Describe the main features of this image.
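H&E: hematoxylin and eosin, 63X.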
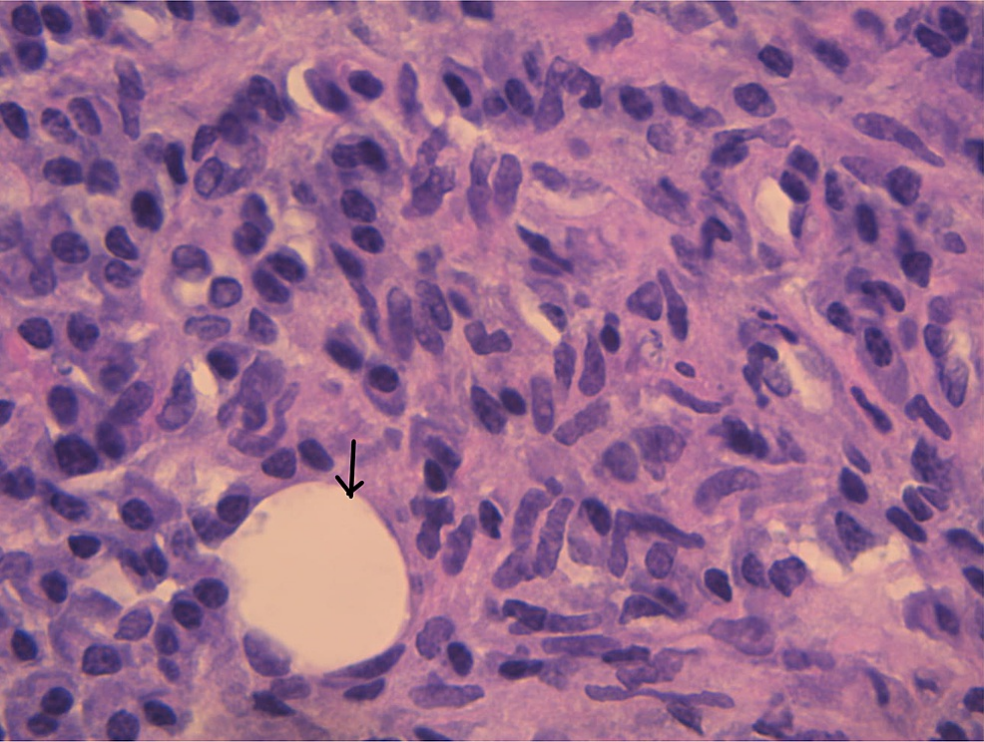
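A dense infiltrate of inflammatory cells, mostly macrophages with plasma cells and occasional lymphocytes, fills the field and leaves a single adipocyte. The adipocyte appears as a large, round, clear space with a thin rim and is surrounded by crowded cells. Many of the surrounding cells have oval, indented or elongated purple nuclei and ample, poorly bordered pale pink-purple cytoplasm. Small clear vacuoles lie scattered between the cells.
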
